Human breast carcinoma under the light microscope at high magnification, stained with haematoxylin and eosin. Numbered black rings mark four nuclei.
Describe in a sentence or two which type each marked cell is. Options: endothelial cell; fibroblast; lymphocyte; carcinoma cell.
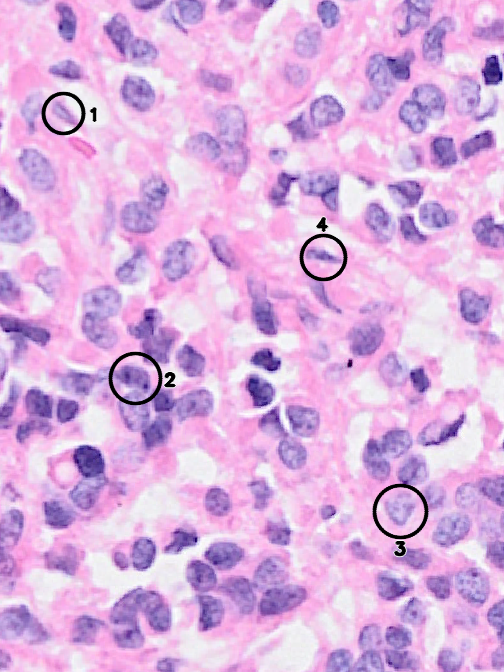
Cell 1 is an endothelial cell. Cells 2 and 3 are carcinoma cells. Cell 4 is a fibroblast.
